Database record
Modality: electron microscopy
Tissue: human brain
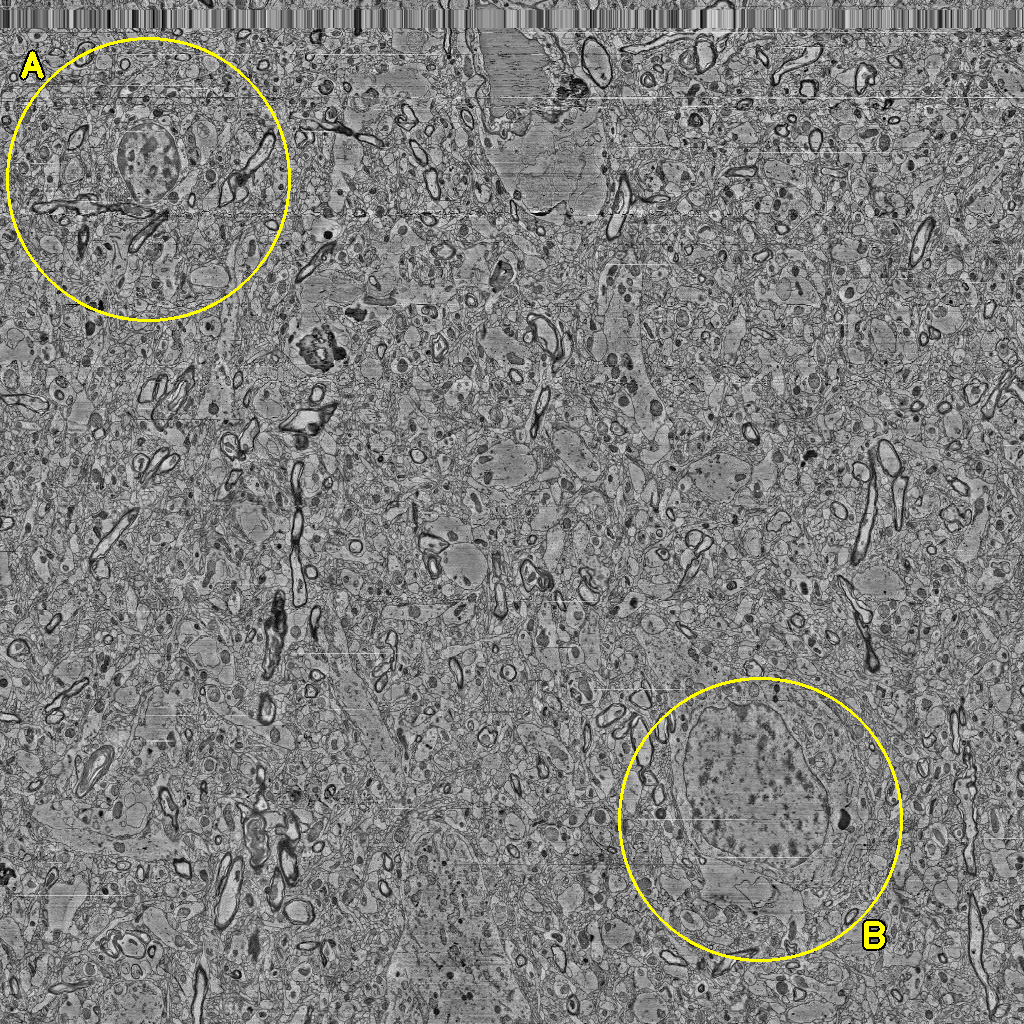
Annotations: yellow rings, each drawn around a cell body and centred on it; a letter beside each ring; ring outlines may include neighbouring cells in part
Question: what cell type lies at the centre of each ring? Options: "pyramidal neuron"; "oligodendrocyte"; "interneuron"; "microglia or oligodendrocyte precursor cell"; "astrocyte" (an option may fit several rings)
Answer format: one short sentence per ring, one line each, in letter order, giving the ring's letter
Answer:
Ring A corresponds to a microglial cell or oligodendrocyte precursor cell.
Ring B corresponds to an interneuron.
